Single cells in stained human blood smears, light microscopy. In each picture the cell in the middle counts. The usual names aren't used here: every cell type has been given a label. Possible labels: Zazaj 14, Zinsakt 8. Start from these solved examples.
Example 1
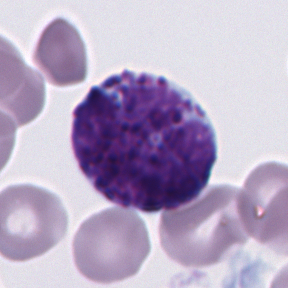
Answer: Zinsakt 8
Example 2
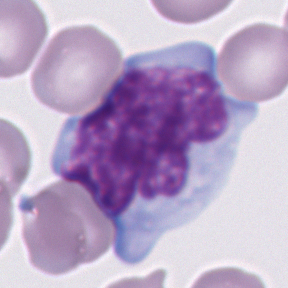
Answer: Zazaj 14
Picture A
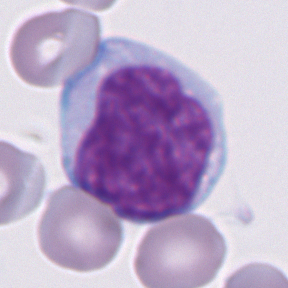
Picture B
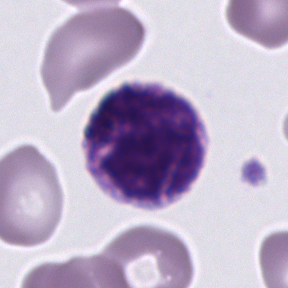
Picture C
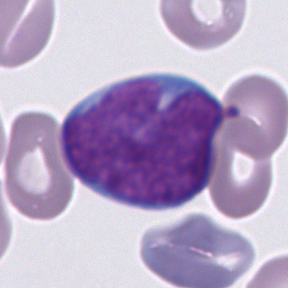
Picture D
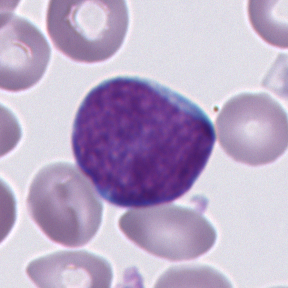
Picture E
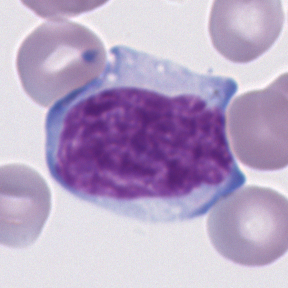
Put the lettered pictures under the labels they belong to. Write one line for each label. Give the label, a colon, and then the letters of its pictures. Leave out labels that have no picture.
Zazaj 14: A, C, D, E
Zinsakt 8: B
